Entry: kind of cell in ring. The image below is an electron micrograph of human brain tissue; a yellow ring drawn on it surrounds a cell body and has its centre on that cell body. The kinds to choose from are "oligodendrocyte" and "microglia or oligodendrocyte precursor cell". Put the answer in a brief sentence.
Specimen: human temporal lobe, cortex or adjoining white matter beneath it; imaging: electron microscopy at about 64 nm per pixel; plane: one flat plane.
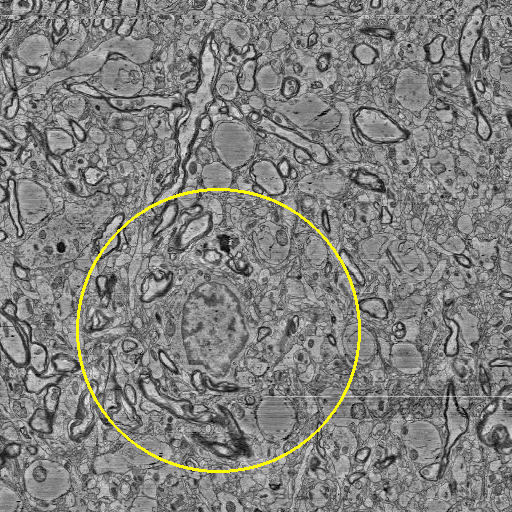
The ring has been drawn around an oligodendrocyte.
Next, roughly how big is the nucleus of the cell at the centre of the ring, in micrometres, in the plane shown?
About 6 micrometres by about 4 micrometres in this plane.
